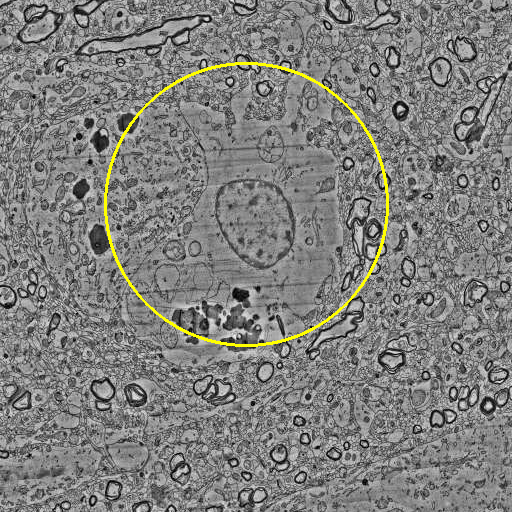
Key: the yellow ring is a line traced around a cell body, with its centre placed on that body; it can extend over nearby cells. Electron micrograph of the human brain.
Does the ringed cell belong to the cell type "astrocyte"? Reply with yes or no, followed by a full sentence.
Yes, the cell at the centre of the yellow ring in the picture is of that type.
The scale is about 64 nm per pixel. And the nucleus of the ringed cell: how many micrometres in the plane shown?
The ringed cell's nucleus is about 6 micrometres long and 5 micrometres wide in this plane.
